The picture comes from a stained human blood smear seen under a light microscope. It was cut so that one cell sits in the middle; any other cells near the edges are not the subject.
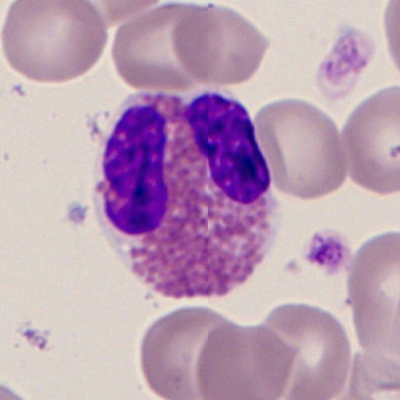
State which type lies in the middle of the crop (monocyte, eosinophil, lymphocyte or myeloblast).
eosinophil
